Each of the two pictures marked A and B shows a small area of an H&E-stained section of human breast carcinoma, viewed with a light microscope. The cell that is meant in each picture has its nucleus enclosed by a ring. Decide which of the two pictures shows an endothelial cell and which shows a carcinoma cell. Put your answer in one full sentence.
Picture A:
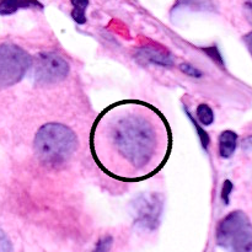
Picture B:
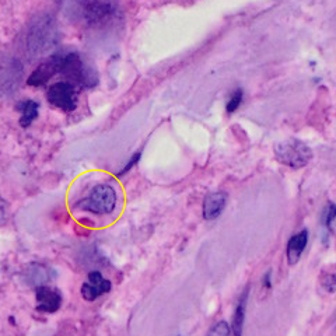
Picture B shows an endothelial cell, while picture A shows a carcinoma cell.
